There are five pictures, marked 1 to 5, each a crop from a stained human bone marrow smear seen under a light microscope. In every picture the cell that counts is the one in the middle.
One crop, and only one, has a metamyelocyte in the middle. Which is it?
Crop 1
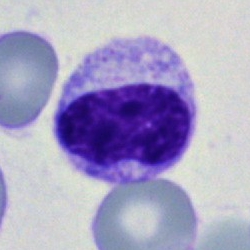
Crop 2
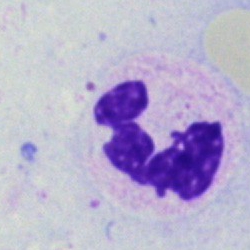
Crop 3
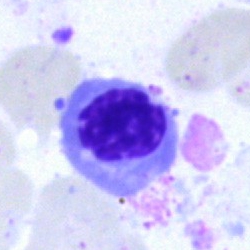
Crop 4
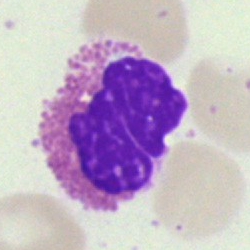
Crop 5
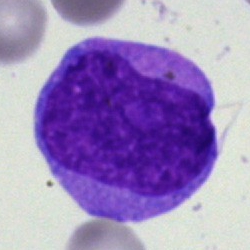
1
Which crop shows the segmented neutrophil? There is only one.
2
